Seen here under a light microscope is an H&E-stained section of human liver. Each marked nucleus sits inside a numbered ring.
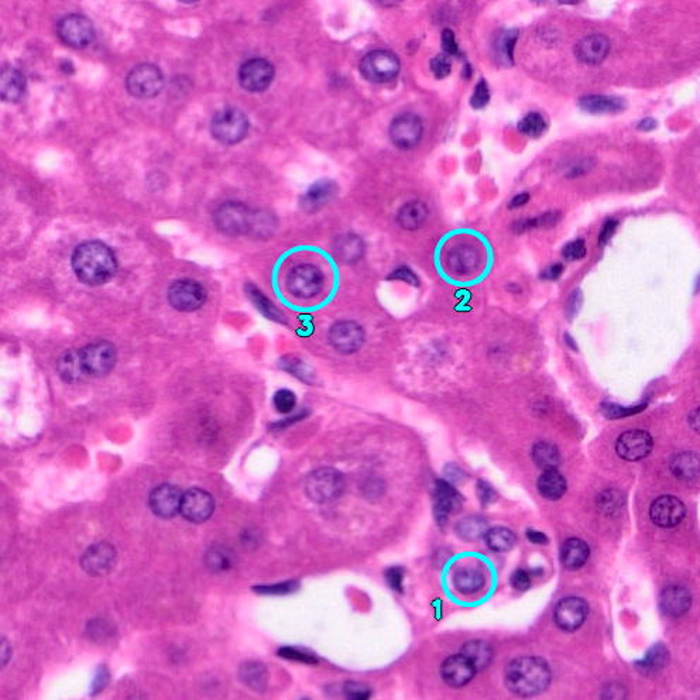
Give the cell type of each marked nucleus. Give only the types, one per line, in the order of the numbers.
cholangiocyte
hepatocyte
hepatocyte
